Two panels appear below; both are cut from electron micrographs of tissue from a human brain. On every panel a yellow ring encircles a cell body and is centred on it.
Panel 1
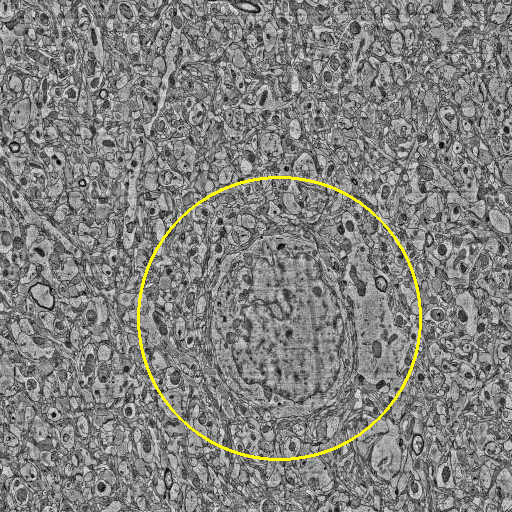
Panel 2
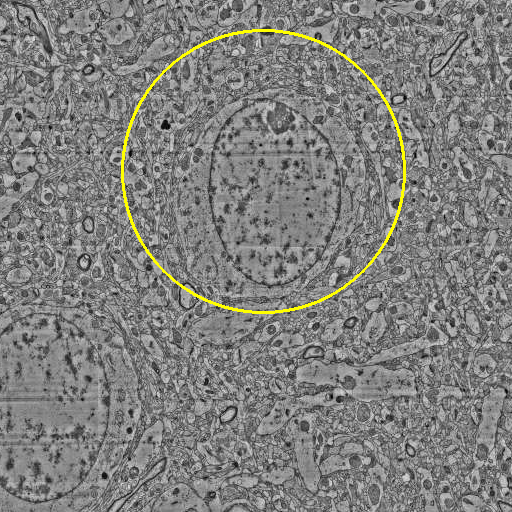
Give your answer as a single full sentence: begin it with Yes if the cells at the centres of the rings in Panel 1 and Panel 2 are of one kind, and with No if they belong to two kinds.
No, the cells in the middle of the rings in Panels 1 and 2 are of two kinds.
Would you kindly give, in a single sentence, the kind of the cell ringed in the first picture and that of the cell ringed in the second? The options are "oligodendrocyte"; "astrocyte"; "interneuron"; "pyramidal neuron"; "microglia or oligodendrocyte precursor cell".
The second cell is a pyramidal neuron, and the first cell is an interneuron.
